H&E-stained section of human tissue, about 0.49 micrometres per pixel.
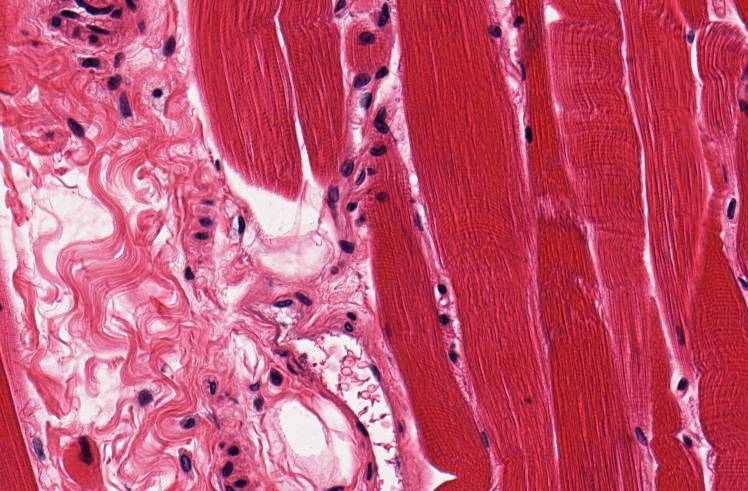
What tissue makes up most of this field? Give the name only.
skeletal muscle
